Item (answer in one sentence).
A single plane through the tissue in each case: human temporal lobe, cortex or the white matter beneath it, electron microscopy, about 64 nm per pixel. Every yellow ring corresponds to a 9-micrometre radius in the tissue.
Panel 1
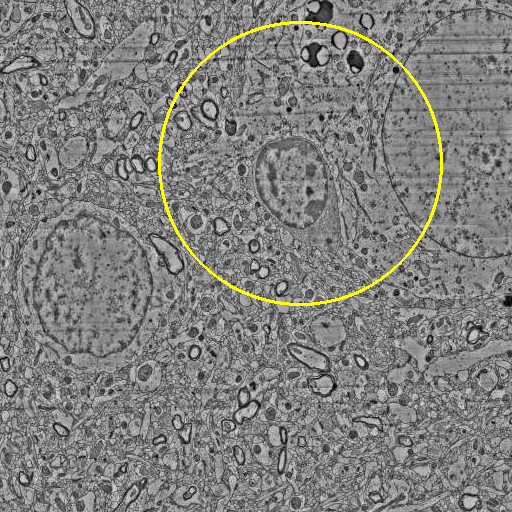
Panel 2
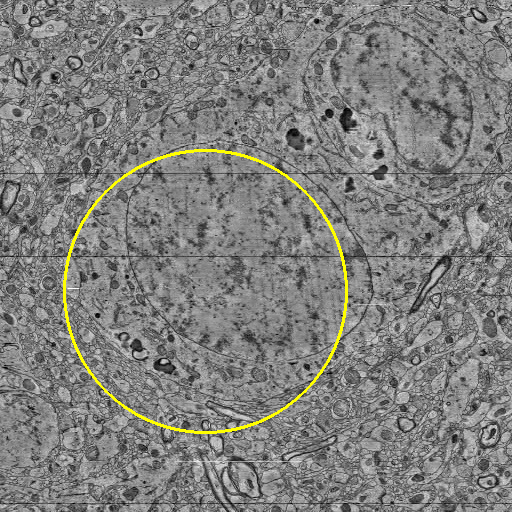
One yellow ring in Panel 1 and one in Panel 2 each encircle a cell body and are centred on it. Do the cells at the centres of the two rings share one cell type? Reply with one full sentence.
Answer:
No, Panel 1 and Panel 2 show cells of two types at the centres of their rings.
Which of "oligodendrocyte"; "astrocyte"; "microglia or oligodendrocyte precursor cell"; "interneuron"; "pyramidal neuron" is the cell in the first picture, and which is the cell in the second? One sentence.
The two differ: the first cell is an oligodendrocyte and the second is a pyramidal neuron.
